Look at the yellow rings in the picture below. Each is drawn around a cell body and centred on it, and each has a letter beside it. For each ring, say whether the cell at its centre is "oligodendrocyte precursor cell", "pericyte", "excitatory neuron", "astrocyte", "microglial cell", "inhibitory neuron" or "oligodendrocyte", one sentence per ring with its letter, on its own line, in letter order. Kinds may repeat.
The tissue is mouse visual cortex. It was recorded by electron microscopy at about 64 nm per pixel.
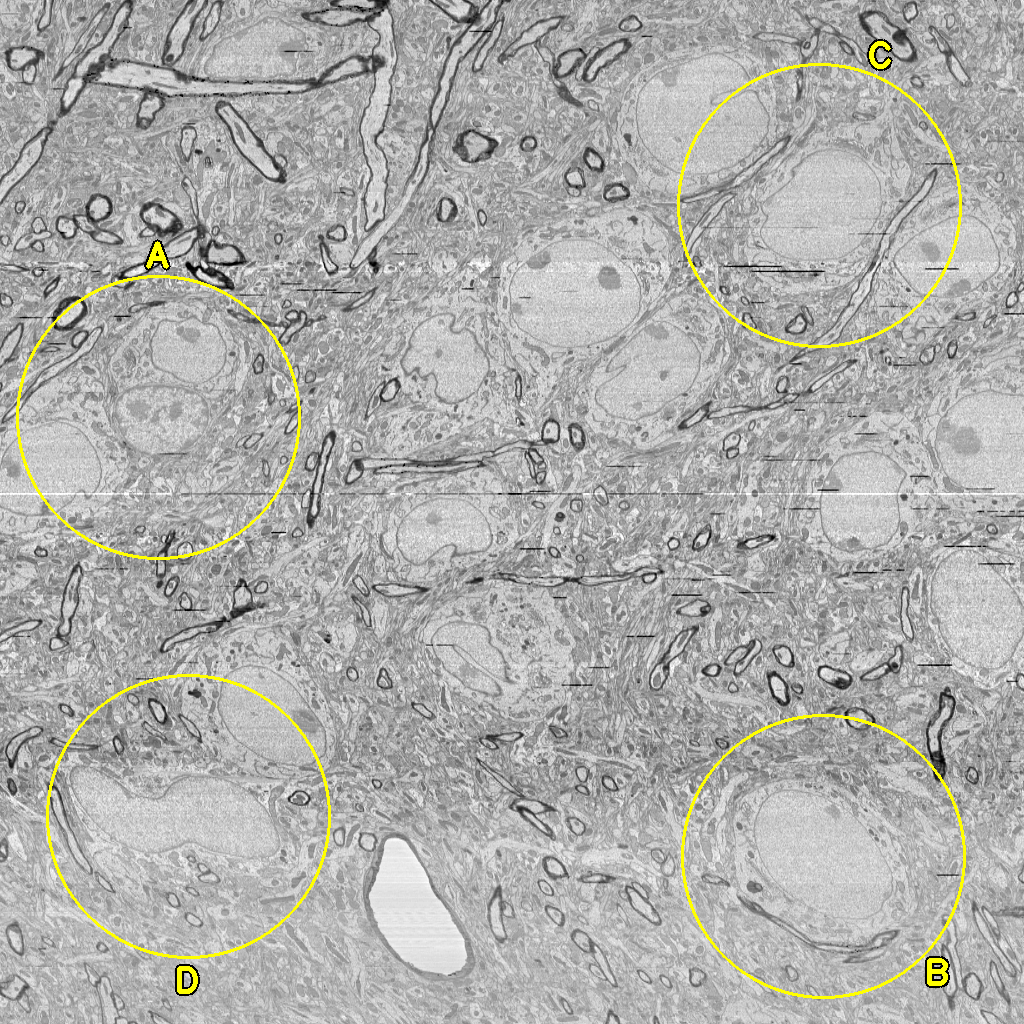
The centred cell of ring A is an oligodendrocyte.
The centred cell of ring B is an excitatory neuron.
The centred cell of ring C is an excitatory neuron.
The centred cell of ring D is an astrocyte.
